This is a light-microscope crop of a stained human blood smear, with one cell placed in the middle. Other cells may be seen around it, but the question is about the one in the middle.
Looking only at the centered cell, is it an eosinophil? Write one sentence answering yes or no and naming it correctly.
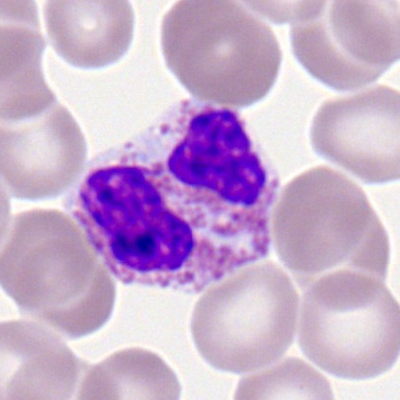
Yes, that middle cell in the crop is an eosinophil.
